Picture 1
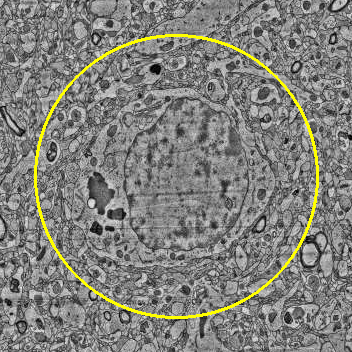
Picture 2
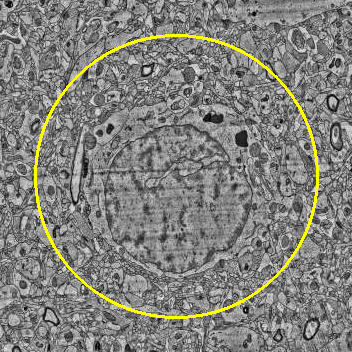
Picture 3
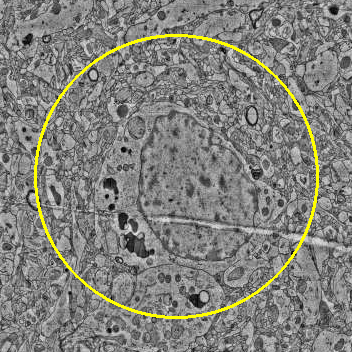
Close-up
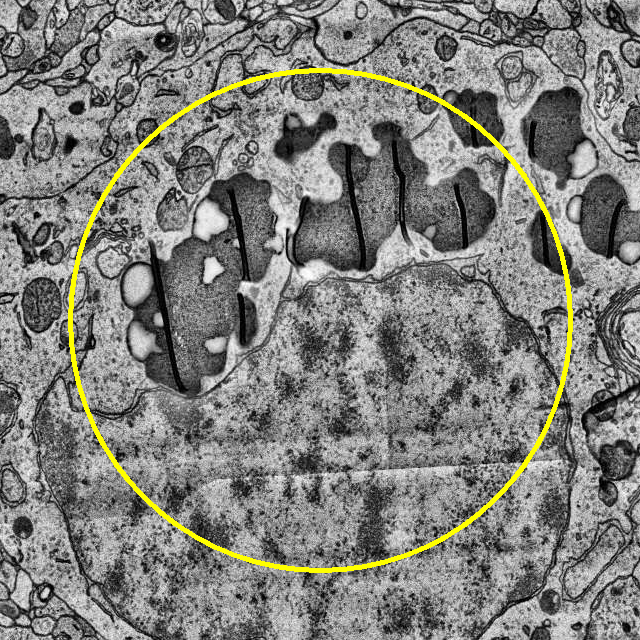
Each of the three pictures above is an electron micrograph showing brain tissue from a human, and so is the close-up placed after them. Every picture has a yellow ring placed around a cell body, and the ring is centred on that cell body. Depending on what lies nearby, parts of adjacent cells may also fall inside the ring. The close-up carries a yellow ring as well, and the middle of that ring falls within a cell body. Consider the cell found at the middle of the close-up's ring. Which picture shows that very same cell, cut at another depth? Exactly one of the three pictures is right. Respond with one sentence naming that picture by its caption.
The cell ringed in yellow within Picture 2 is the close-up cell.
